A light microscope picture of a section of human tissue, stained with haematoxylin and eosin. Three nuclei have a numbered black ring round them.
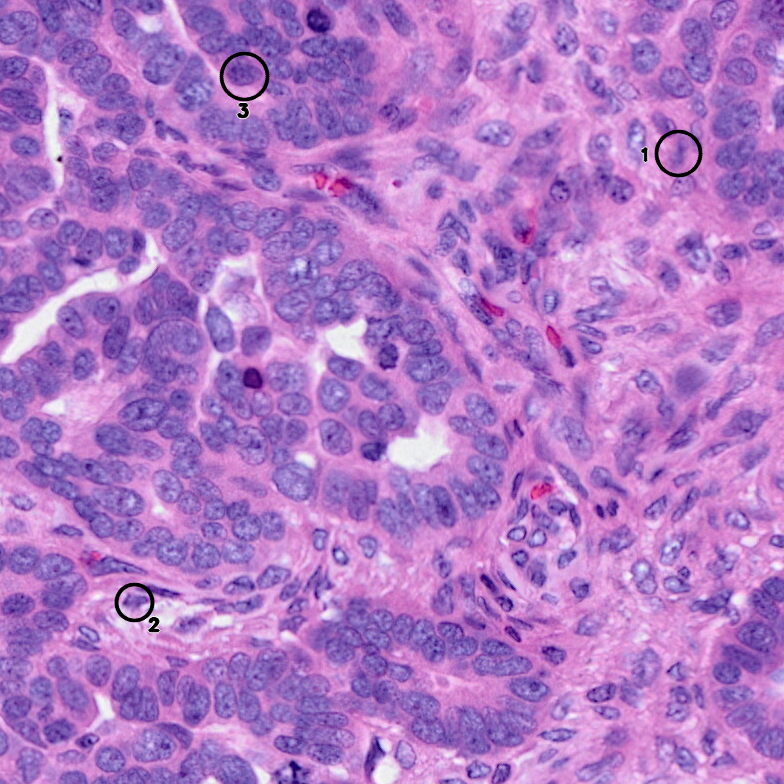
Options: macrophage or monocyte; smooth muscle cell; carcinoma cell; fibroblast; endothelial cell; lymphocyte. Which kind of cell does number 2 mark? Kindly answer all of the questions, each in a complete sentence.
The cell tagged with 2 in this tissue section is a fibroblast.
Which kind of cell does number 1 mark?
The cell that is numbered 1 is a fibroblast.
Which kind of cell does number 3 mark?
Cell 3 in the field of view is a carcinoma cell.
